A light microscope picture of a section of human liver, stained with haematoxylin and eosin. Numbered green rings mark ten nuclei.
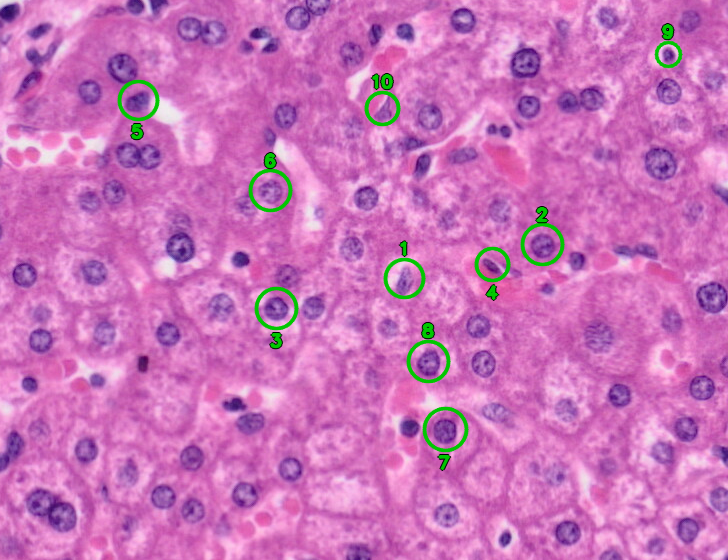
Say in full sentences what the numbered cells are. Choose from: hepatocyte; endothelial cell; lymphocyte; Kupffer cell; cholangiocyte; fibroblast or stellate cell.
Cell 1 is a Kupffer cell, cell 2 is a hepatocyte, cell 3 is a hepatocyte, cell 4 is an endothelial cell, cell 5 is a fibroblast or stellate cell, cell 6 is a hepatocyte, cell 7 is a hepatocyte, cell 8 is a hepatocyte, cell 9 is a lymphocyte and cell 10 is an endothelial cell.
